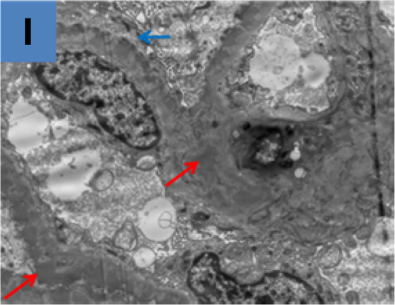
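Electron micrograph of a glomerulus showing cell nuclei with dark heterochromatin and pale, vacuolated cytoplasm. Broad, irregular bands of dark, homogeneous electron-dense material lie along and within the thickened basement membrane, and the overlying epithelial cell layer lies flattened along its outer side.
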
